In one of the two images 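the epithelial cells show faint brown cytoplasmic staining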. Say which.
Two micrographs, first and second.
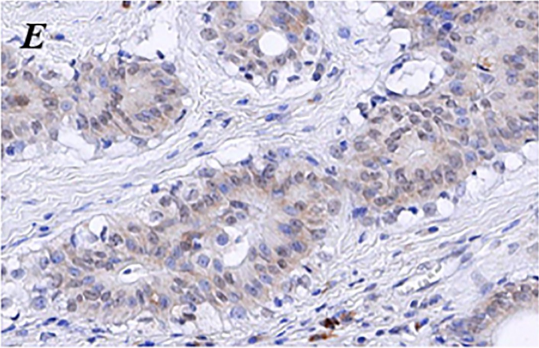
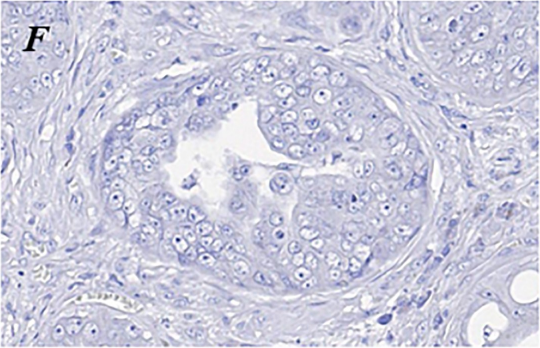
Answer: The first image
